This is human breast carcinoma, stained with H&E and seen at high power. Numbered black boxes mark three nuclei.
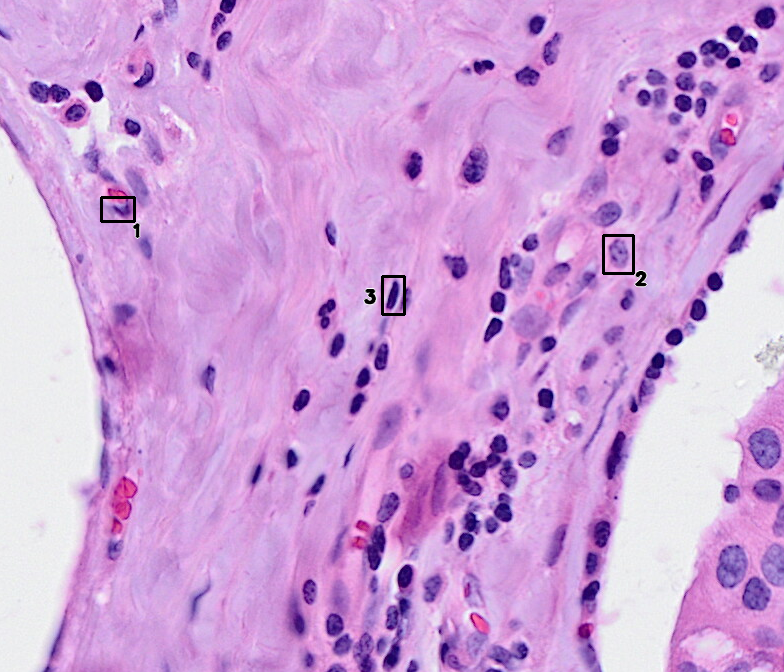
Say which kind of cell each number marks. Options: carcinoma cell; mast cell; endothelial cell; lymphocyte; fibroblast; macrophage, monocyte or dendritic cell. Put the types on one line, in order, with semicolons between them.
endothelial cell; mast cell; lymphocyte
